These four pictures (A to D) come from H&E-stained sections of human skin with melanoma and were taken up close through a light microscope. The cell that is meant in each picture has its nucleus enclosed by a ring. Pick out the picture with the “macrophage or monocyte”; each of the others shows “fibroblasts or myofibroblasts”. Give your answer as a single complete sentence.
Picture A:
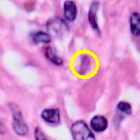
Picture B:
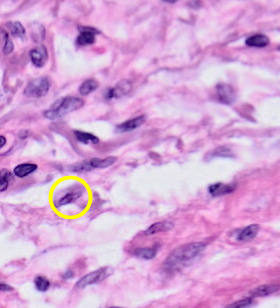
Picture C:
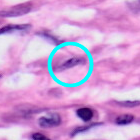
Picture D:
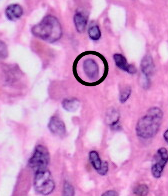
Picture D shows the “macrophage or monocyte”.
